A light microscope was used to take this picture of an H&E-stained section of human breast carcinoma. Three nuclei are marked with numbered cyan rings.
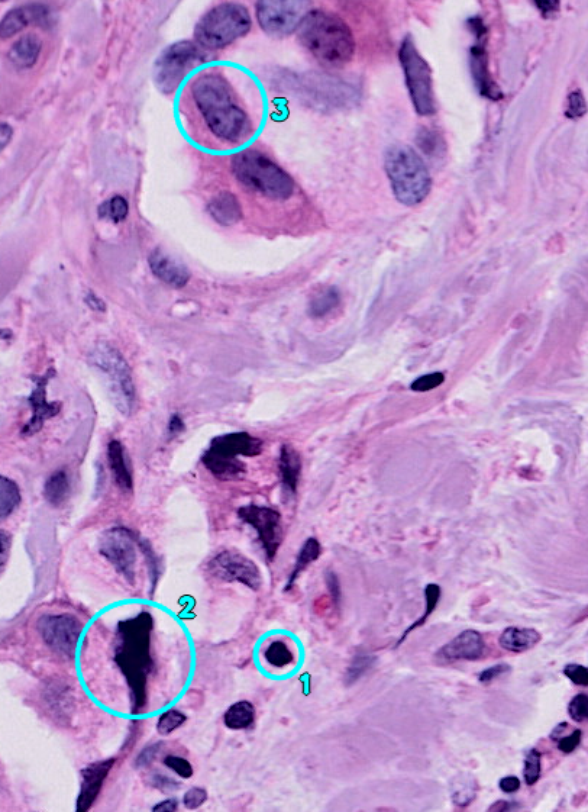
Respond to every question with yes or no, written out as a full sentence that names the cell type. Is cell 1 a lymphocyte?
Yes, for number 1, the cell is a lymphocyte.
